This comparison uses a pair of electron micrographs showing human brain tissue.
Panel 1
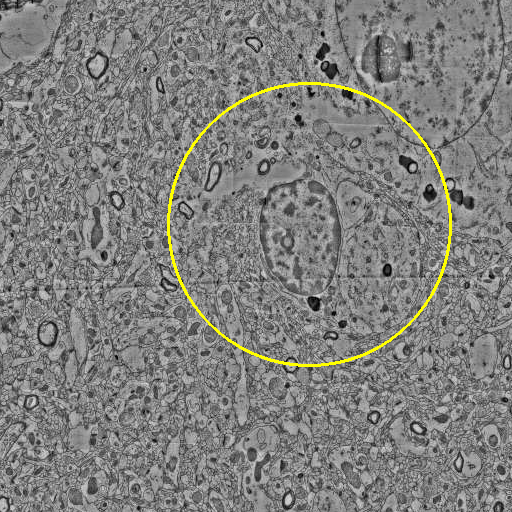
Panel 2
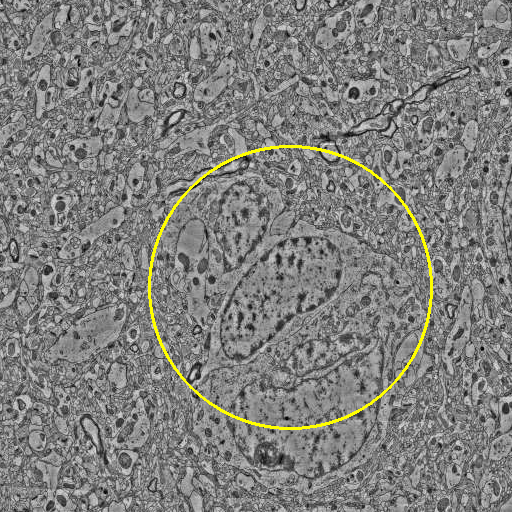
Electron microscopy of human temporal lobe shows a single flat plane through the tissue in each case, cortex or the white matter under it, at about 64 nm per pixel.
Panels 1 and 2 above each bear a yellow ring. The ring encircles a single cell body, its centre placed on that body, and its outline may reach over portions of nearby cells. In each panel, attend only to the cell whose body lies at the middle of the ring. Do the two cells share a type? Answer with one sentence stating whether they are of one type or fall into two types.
In Panel 1 and Panel 2, the cells at the centres of the rings are of one type.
